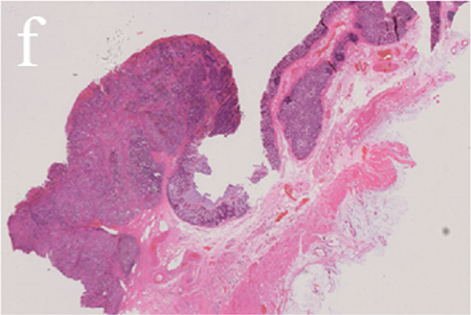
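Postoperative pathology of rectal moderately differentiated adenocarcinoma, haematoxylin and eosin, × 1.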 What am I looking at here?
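The tumour forms a large rounded mass on the left and a smaller lobule to the upper right. Beneath these masses lies paler pink, loosely textured connective tissue with scattered small vessels.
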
